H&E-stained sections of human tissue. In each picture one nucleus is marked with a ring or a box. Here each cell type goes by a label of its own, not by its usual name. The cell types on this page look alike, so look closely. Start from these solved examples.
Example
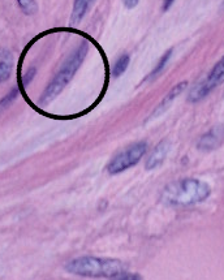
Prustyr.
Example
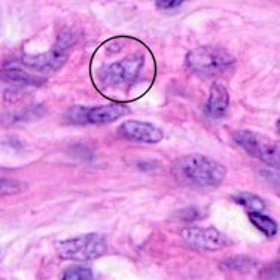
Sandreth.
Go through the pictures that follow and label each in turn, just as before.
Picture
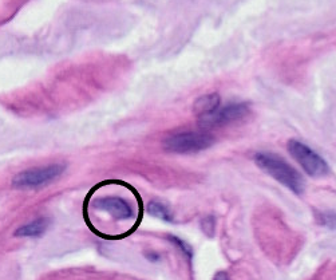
Sandreth.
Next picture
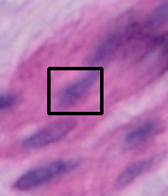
Prustyr.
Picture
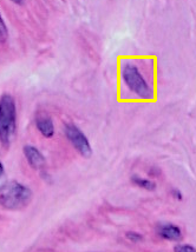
Prustyr.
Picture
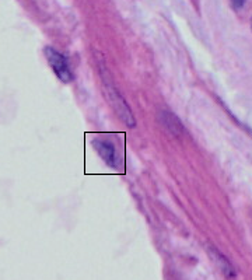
Sandreth.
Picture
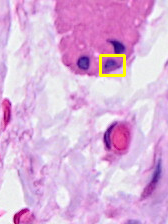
Prustyr.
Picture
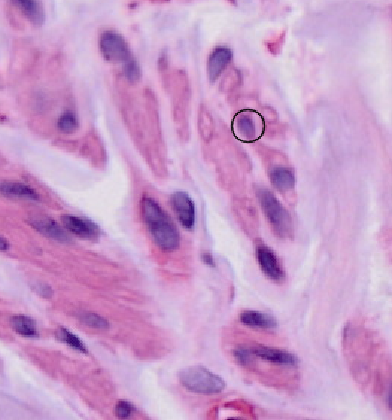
Prustyr.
